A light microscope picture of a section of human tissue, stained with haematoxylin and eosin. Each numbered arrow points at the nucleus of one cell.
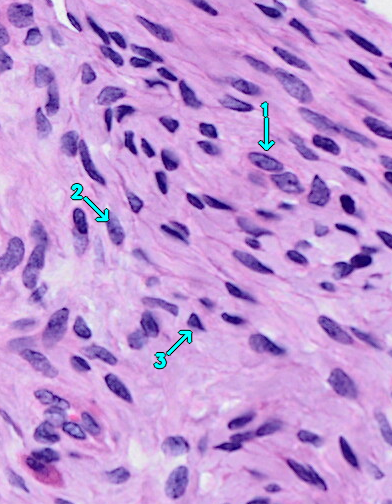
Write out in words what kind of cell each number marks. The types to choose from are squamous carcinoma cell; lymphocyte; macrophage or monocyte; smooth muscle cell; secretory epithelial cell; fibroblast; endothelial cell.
Cell 1 is an endothelial cell, cell 2 is a fibroblast and cell 3 is a fibroblast.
